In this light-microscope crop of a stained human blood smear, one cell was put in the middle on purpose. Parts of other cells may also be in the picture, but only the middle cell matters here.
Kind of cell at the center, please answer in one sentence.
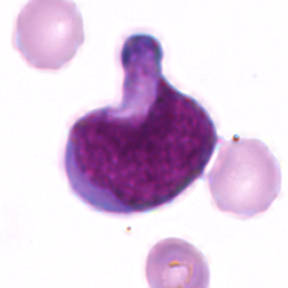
The middle cell in this particular crop is an atypical promyelocyte.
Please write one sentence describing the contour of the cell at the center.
The outer contour of the cell is irregular, with ragged portions or projections along it.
